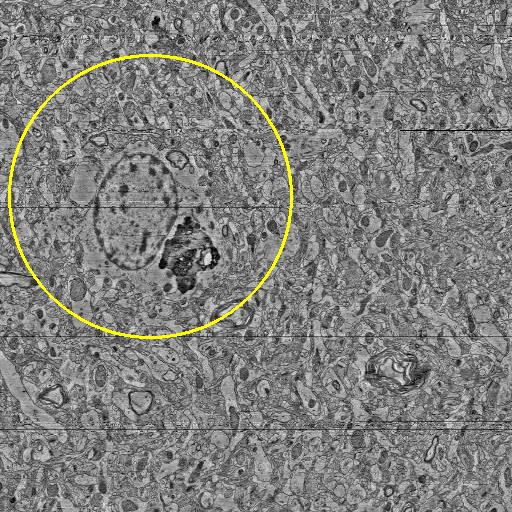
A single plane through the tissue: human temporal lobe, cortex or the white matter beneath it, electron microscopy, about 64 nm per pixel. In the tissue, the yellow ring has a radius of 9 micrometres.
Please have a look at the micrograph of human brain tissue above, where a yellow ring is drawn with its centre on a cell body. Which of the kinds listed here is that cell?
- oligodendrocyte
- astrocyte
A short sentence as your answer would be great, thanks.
At the centre of the ring sits an astrocyte.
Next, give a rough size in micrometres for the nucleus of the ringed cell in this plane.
Approximately 8 by 5 micrometers in this plane.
